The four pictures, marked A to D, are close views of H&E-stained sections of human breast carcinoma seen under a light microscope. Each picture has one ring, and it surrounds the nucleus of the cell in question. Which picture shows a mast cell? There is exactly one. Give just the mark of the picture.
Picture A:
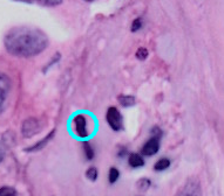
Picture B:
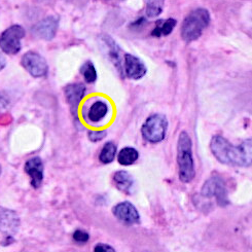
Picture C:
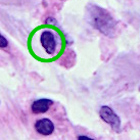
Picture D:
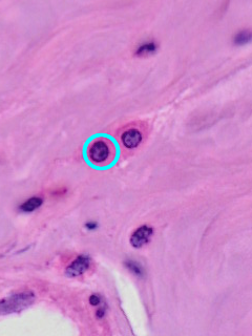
D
